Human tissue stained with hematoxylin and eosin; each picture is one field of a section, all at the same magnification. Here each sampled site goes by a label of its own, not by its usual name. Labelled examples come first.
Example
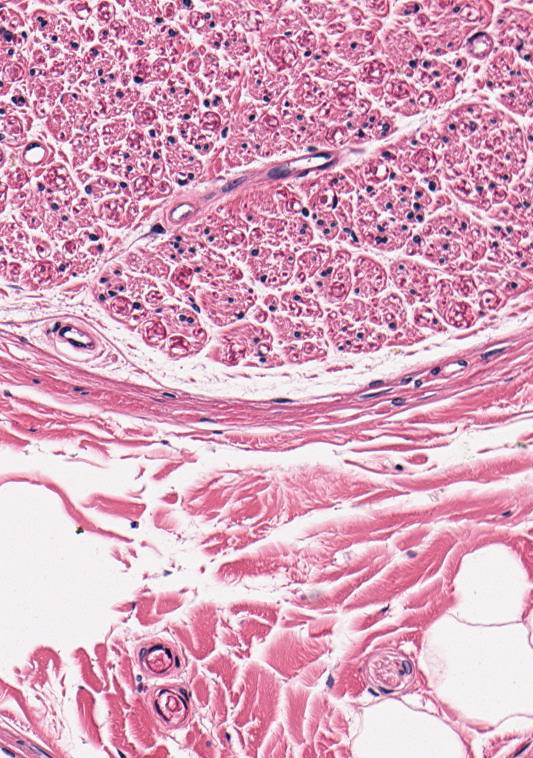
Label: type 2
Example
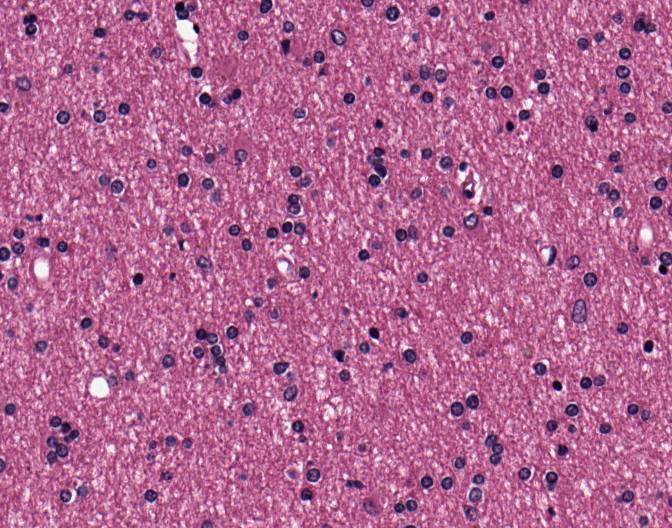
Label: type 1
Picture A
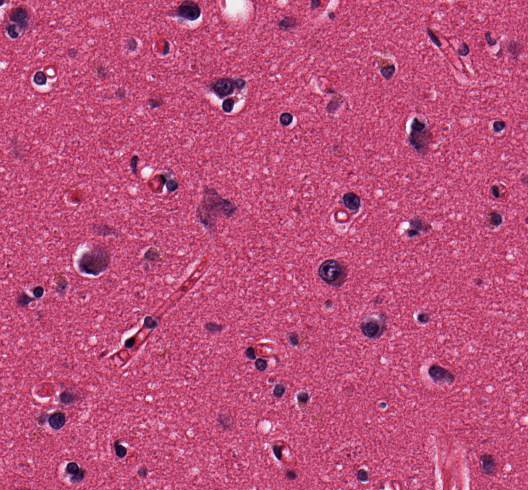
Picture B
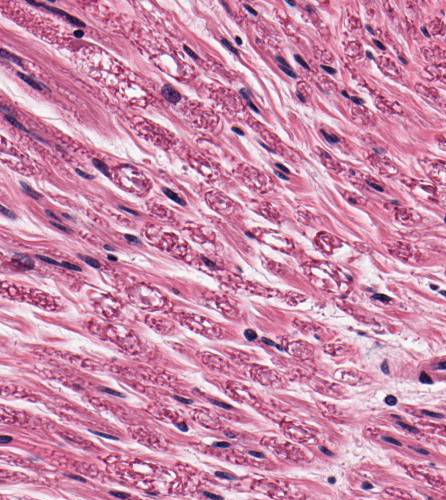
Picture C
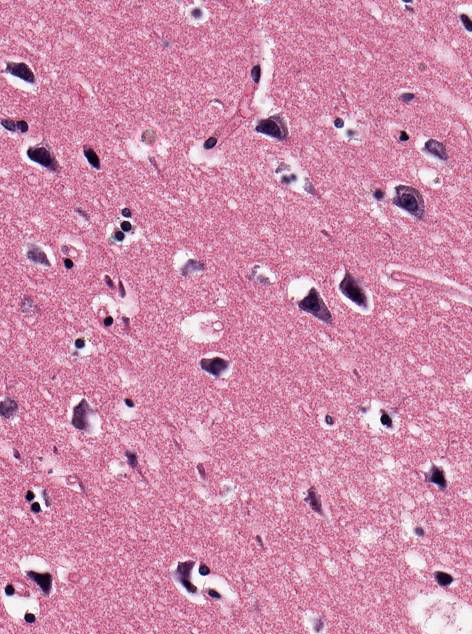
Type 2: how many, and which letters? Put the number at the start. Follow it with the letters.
1: B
